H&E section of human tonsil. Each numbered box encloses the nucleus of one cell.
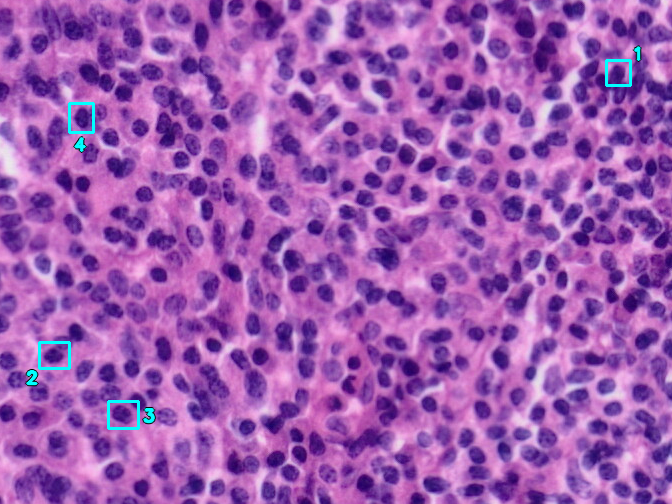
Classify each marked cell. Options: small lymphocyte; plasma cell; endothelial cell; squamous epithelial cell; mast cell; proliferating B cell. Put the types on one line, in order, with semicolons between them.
small lymphocyte; plasma cell; plasma cell; plasma cell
